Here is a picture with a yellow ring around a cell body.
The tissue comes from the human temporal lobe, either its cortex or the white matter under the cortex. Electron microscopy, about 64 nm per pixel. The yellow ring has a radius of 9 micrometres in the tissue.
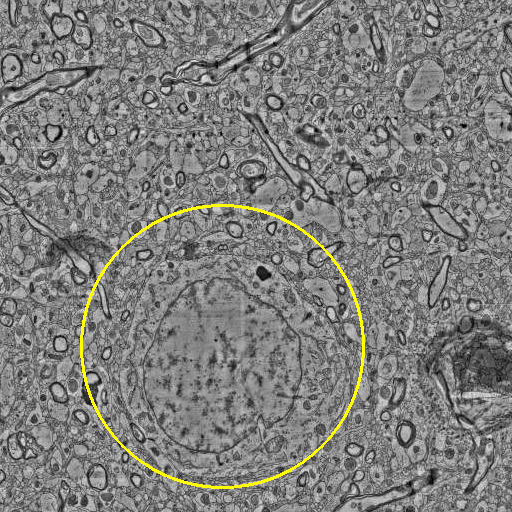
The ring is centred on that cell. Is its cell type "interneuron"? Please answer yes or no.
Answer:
no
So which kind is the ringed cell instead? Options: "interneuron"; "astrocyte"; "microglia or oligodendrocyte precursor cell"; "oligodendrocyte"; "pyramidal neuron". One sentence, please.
What the ring is centred on is a pyramidal neuron.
